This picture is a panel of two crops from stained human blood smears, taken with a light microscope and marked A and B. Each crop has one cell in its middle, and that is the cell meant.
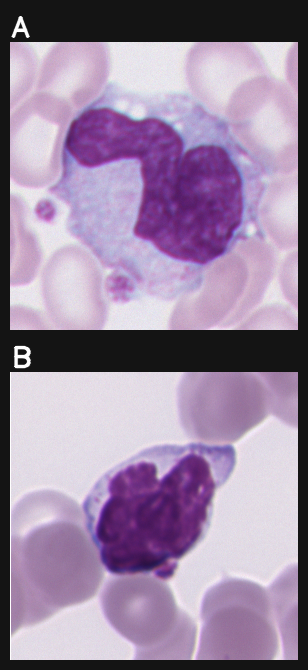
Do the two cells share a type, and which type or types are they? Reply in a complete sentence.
No, crop A shows a monocyte, and it is crop B that shows a large granular lymphocyte.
